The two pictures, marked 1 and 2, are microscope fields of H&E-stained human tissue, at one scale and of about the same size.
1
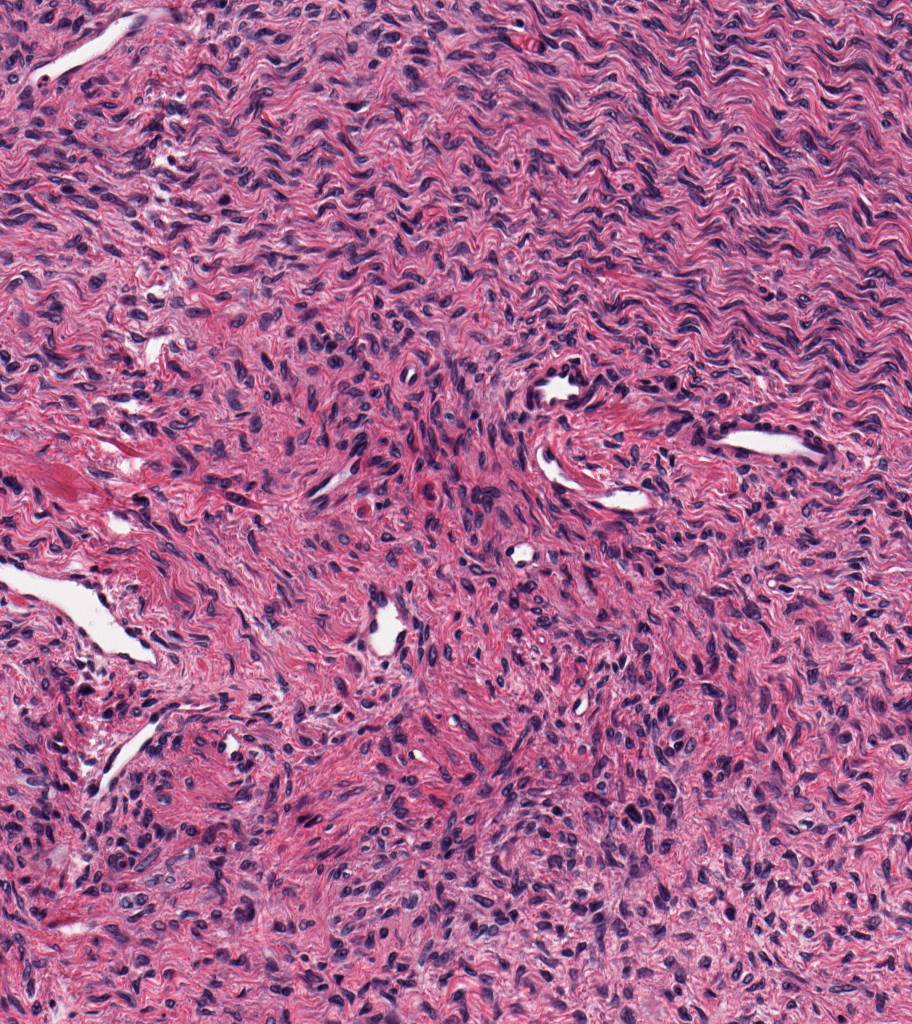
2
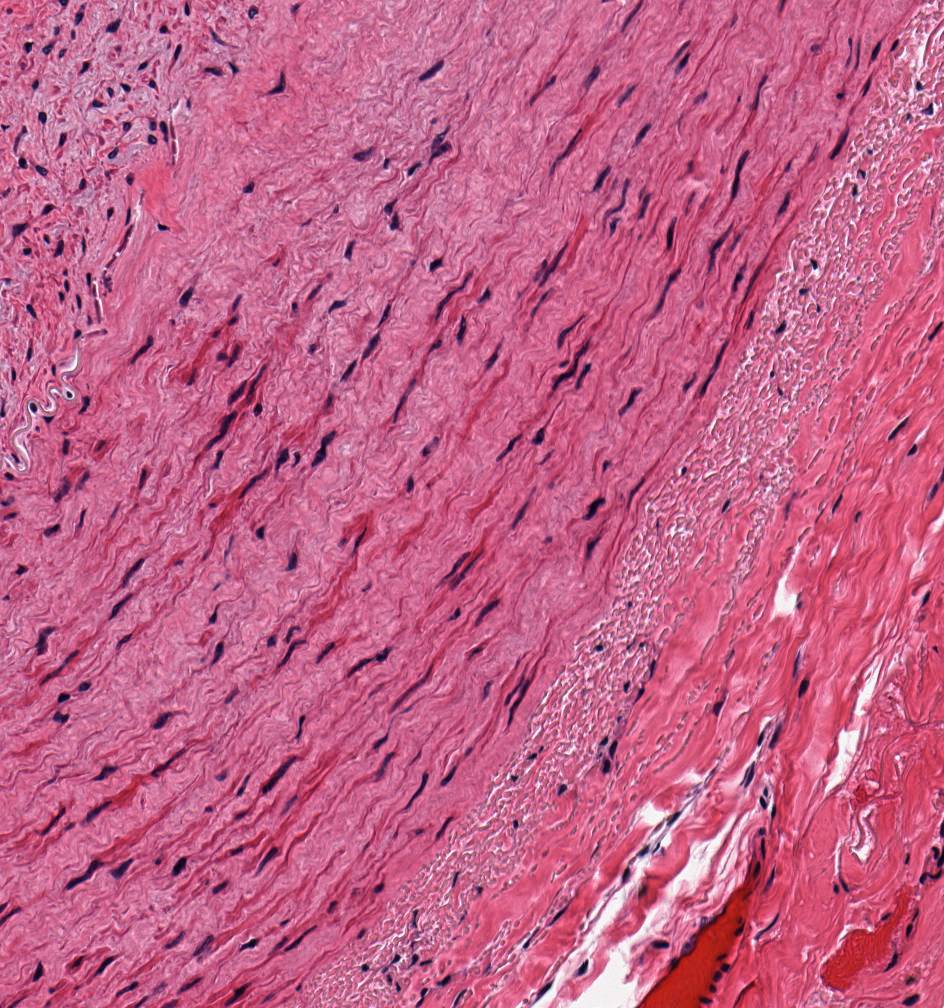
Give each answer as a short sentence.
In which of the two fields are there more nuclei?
There are more nuclei in field 1.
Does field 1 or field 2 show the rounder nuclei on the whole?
Rounder nuclei lie in field 1.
